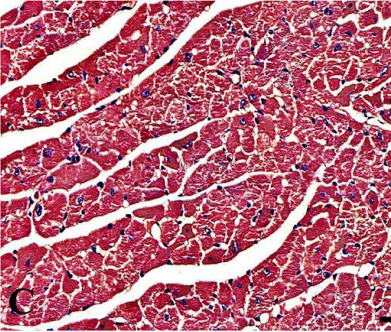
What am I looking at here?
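Heart muscle made of closely packed pink cardiac muscle fibers, many cut obliquely or across so they appear as polygonal profiles with a finely granular cytoplasm. Oval blue-purple nuclei sit within the fibers, spread evenly through the tissue. The fibers form bundles separated by a few narrow clear clefts running diagonally across the field. The staining is fairly even throughout, and no clusters of red blood cells lie free between the fibers.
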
